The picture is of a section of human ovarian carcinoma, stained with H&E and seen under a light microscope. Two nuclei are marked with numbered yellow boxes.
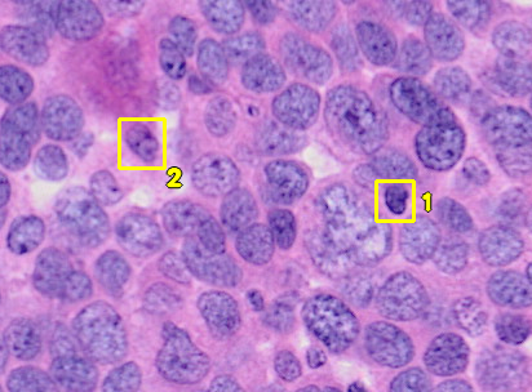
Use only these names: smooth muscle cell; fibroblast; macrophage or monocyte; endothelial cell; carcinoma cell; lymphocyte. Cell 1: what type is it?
lymphocyte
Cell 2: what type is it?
macrophage or monocyte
